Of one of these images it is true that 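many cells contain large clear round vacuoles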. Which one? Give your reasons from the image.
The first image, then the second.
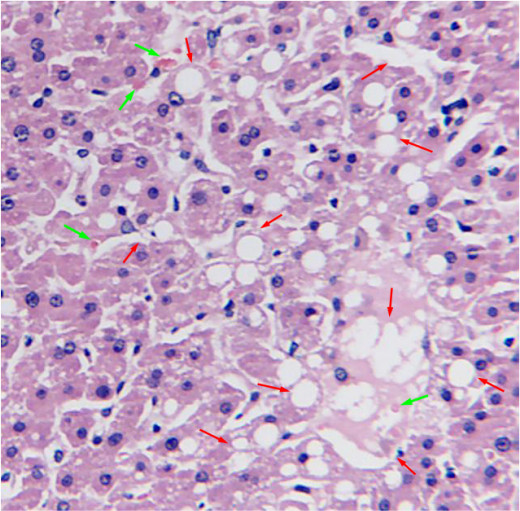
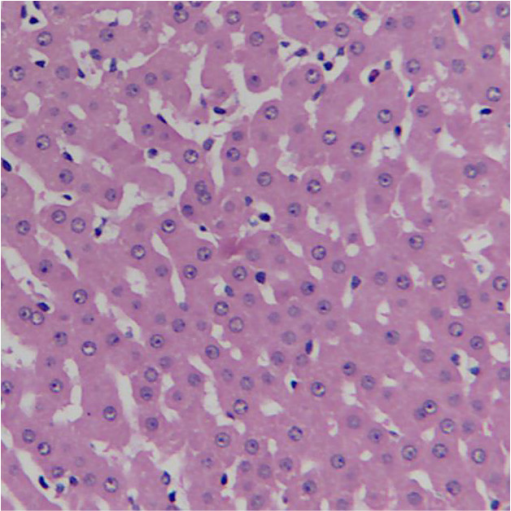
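First image: numerous large round clear vacuoles are scattered among the hepatocytes. Second image: hepatocytes have uniform pink cytoplasm without large clear vacuoles.
Answer: the first image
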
